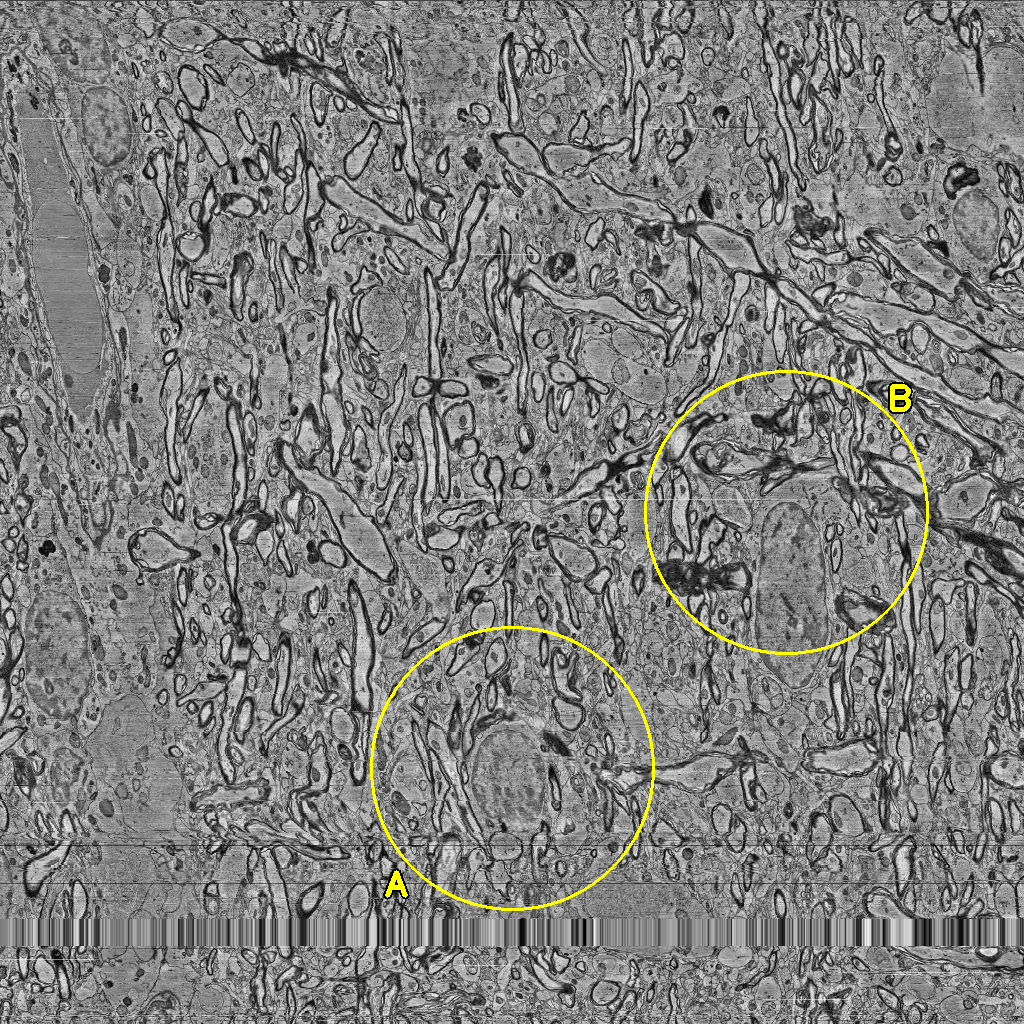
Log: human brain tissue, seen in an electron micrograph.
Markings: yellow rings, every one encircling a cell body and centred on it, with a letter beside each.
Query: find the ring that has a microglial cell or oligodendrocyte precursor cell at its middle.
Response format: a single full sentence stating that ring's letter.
The letter B marks the ring centred on the cell asked for in the image.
